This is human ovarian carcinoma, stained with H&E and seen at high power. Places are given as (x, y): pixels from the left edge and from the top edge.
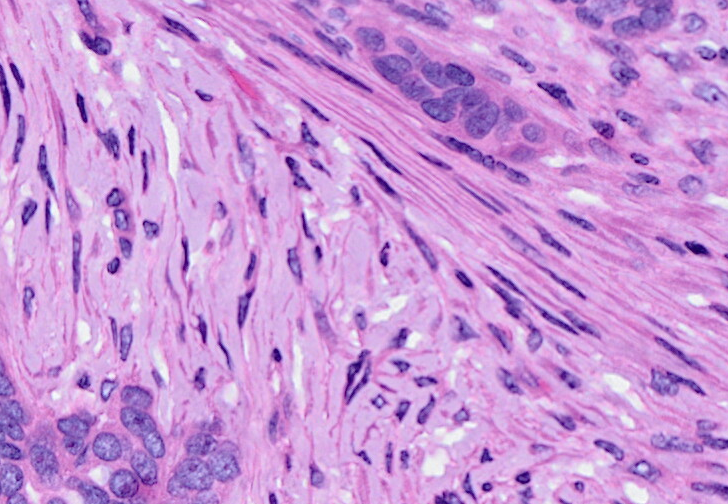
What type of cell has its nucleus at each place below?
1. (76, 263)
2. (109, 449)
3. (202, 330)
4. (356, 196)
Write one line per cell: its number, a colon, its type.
1: fibroblast
2: carcinoma cell
3: fibroblast
4: fibroblast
